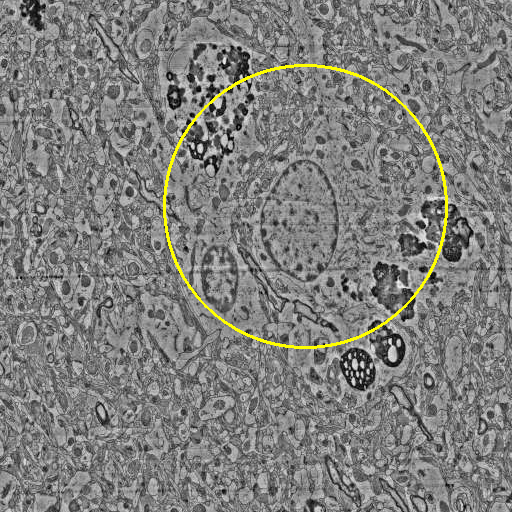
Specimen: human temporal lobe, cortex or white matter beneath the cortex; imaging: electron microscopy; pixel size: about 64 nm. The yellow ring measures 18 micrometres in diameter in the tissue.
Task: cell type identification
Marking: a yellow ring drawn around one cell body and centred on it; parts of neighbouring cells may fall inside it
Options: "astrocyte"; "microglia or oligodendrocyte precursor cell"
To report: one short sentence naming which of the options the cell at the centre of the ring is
The cell at the centre of the ring is an astrocyte.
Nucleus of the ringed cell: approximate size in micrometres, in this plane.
Approximately 8 by 5 micrometers, which makes the nucleus clearly longer than it is wide in this plane.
